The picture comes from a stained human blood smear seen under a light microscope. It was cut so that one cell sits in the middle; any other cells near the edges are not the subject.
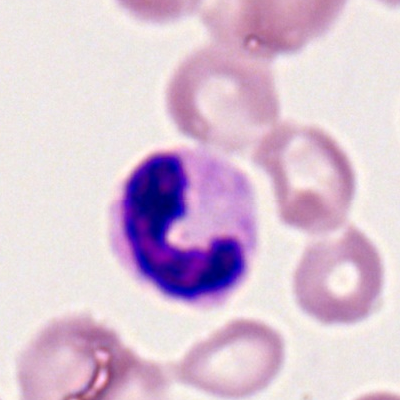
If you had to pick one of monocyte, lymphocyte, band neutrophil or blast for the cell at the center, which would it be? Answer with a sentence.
Framed in the middle of the crop is a band neutrophil.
